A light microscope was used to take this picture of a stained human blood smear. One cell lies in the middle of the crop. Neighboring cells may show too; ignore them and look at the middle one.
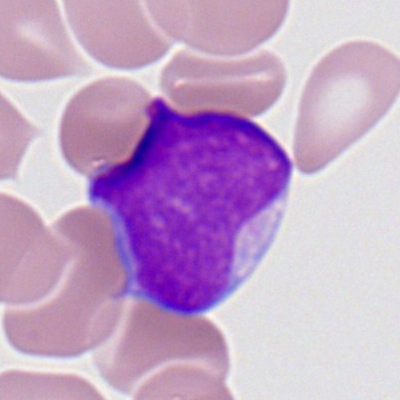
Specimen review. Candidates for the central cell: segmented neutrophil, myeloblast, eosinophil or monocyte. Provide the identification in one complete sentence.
In the crop, the cell of interest at the centre is a myeloblast.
